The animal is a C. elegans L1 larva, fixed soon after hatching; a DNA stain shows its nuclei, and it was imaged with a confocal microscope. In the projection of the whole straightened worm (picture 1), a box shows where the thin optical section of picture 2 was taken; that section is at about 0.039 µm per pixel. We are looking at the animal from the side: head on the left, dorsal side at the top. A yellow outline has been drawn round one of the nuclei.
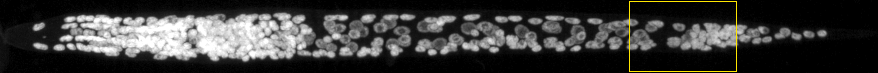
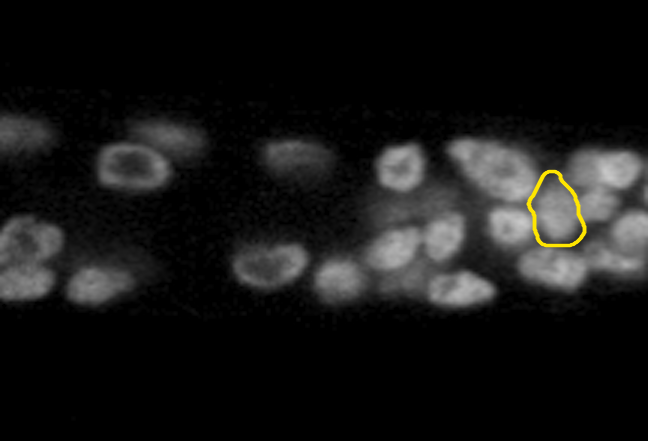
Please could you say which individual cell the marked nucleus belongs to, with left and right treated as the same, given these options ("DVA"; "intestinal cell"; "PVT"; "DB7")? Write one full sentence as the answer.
It is the nucleus of DVA, a neuron.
